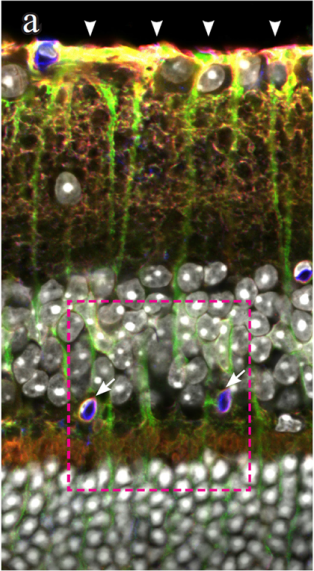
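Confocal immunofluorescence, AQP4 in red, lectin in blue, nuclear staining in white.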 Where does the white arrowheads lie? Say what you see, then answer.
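Subvitreal membrane domains. The arrowheads point at the topmost border of the tissue above the ganglion cell row. A bright continuous band runs along that inner surface.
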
